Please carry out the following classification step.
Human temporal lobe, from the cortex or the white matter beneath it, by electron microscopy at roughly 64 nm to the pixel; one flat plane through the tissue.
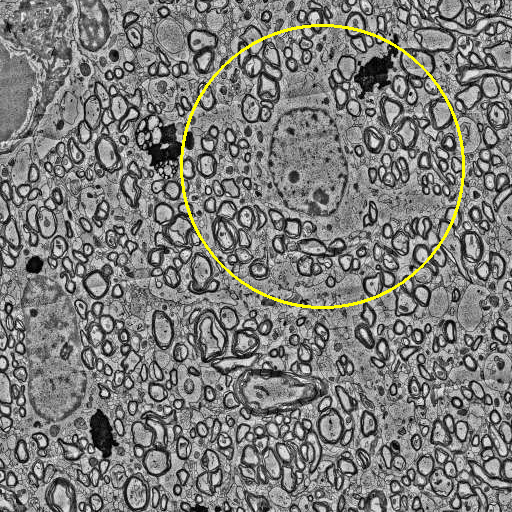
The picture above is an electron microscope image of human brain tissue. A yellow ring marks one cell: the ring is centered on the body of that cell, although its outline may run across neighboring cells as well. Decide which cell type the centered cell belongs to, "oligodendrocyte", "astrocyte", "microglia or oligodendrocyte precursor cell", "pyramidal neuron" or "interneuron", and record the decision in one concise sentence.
The cell centered in the yellow ring is an astrocyte.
